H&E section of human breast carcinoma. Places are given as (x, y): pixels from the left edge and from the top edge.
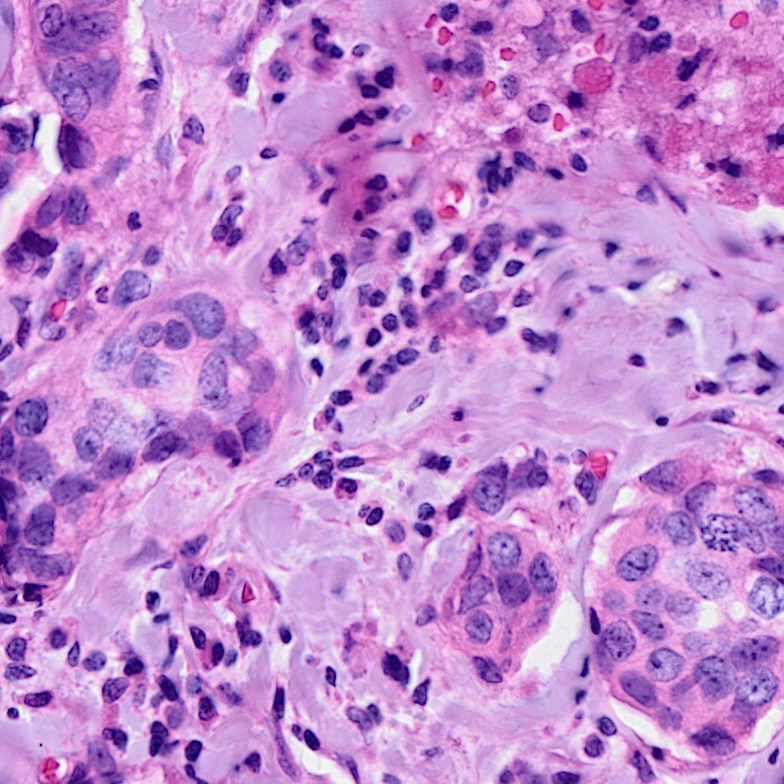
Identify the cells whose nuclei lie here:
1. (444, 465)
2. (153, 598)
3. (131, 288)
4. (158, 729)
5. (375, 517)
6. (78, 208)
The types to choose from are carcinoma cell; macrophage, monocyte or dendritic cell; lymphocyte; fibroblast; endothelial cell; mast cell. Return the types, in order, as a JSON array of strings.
["lymphocyte", "lymphocyte", "carcinoma cell", "lymphocyte", "lymphocyte", "carcinoma cell"]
